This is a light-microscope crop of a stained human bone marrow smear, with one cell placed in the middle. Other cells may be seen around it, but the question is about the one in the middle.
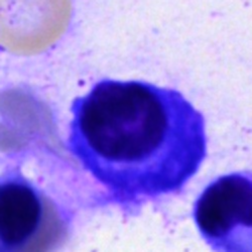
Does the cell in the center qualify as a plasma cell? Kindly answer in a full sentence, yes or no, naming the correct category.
Yes, the cell in the middle of this smear crop is a plasma cell.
